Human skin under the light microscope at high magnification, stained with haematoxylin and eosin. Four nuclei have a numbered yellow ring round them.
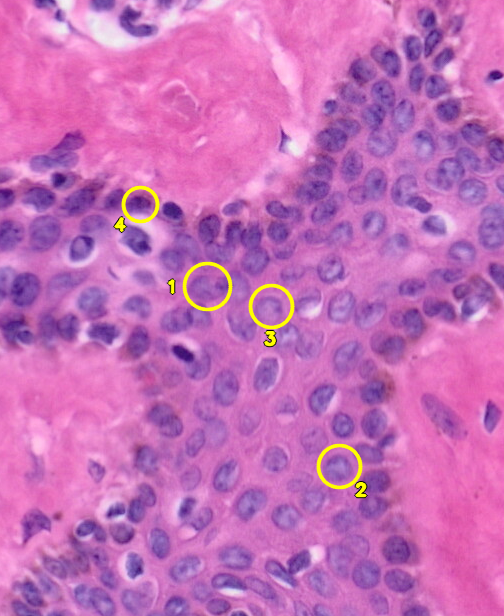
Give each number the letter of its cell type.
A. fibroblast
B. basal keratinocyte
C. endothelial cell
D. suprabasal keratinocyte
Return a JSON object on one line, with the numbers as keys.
{"1": "D", "2": "D", "3": "D", "4": "B"}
